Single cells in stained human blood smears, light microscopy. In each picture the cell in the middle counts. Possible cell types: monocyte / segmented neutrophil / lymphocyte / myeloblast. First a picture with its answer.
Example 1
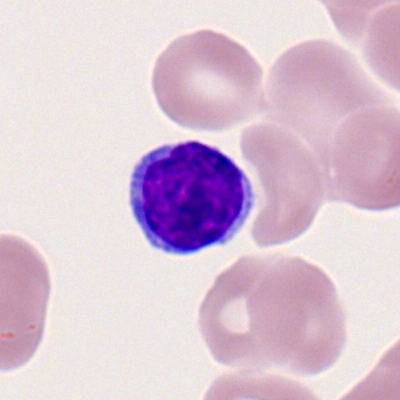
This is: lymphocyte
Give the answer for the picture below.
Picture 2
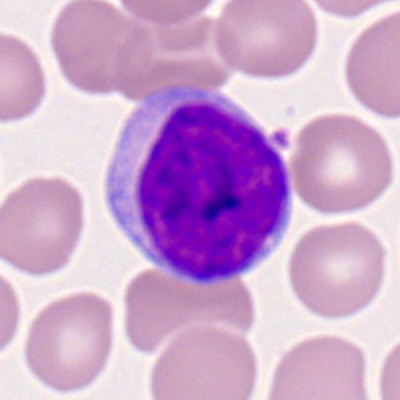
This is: lymphocyte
